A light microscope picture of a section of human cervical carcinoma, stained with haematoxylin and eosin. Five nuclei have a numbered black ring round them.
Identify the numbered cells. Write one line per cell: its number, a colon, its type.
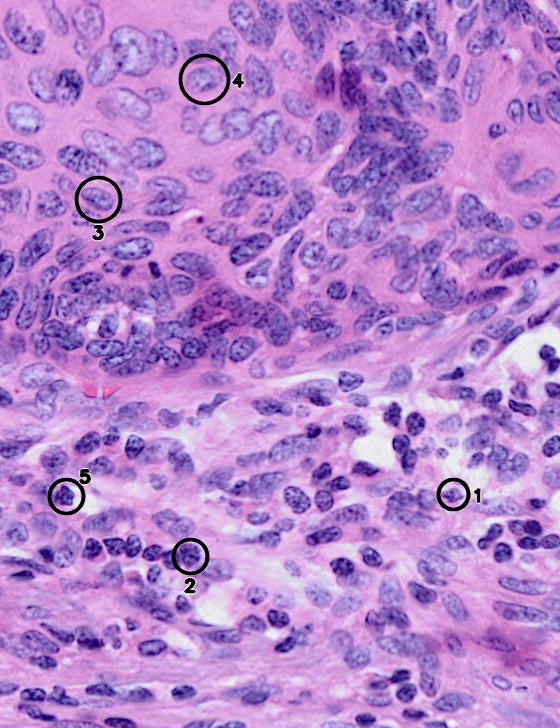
1: lymphocyte
2: lymphocyte
3: squamous carcinoma cell
4: squamous carcinoma cell
5: lymphocyte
